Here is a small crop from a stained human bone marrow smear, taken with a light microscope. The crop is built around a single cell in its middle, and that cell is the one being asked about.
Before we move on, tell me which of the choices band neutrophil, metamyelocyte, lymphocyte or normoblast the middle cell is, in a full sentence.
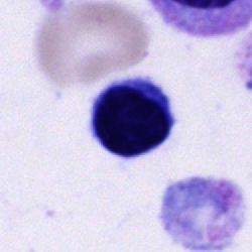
The crop centres on a single cell, and that cell is a lymphocyte.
